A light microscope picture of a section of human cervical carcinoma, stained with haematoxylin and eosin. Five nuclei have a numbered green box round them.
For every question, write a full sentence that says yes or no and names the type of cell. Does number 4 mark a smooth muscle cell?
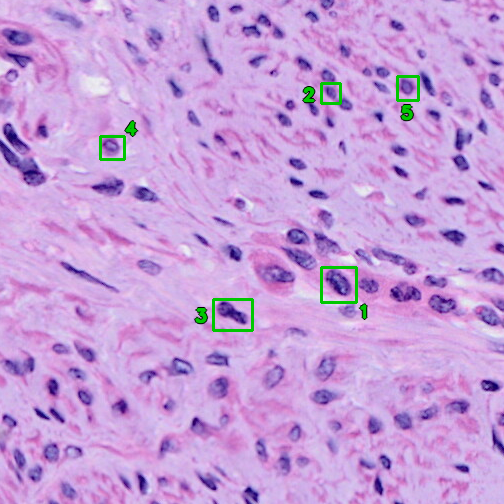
Yes, the cell with the mark numbered 4 is a smooth muscle cell.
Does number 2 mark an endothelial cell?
No, number 2 is not an endothelial cell; it is a smooth muscle cell.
